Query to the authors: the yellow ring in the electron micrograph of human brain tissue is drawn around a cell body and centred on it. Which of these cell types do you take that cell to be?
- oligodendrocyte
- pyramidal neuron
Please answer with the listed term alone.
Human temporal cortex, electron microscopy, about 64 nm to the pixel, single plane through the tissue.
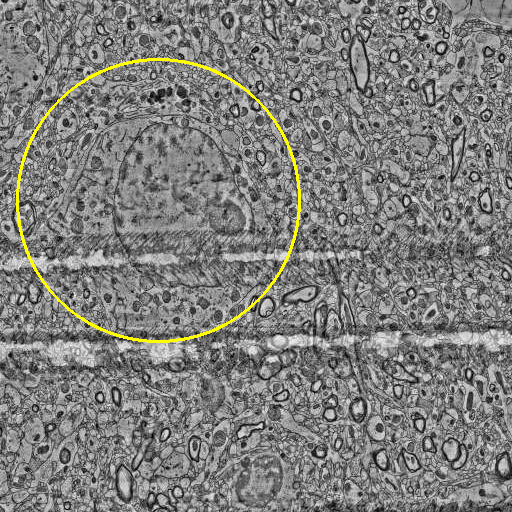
pyramidal neuron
